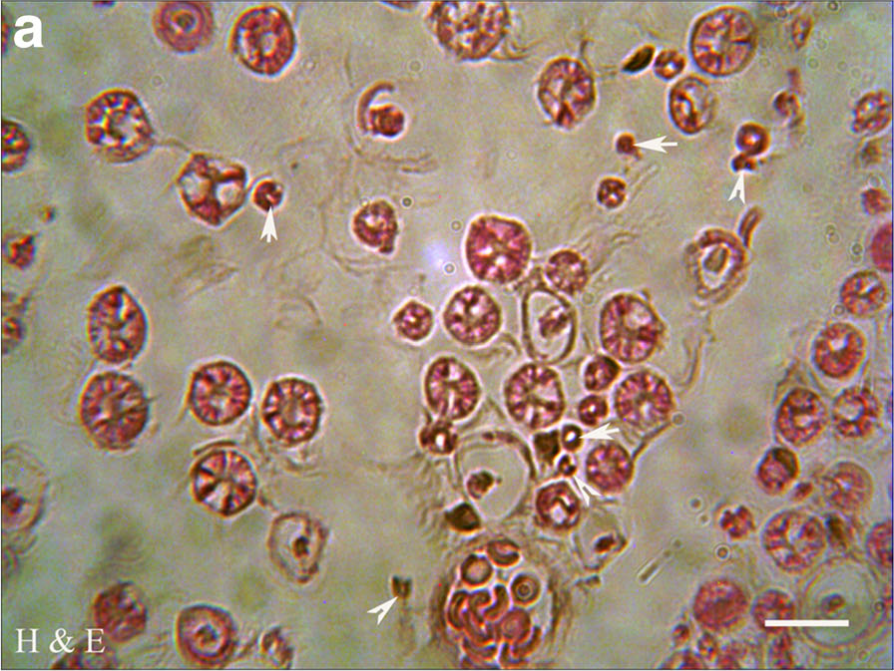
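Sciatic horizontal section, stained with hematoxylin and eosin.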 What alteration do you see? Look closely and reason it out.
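Round fiber profiles lie apart from each other with wide pale spaces between them. Only small clusters of fibers touch one another. The answer: separated nerve fibers.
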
